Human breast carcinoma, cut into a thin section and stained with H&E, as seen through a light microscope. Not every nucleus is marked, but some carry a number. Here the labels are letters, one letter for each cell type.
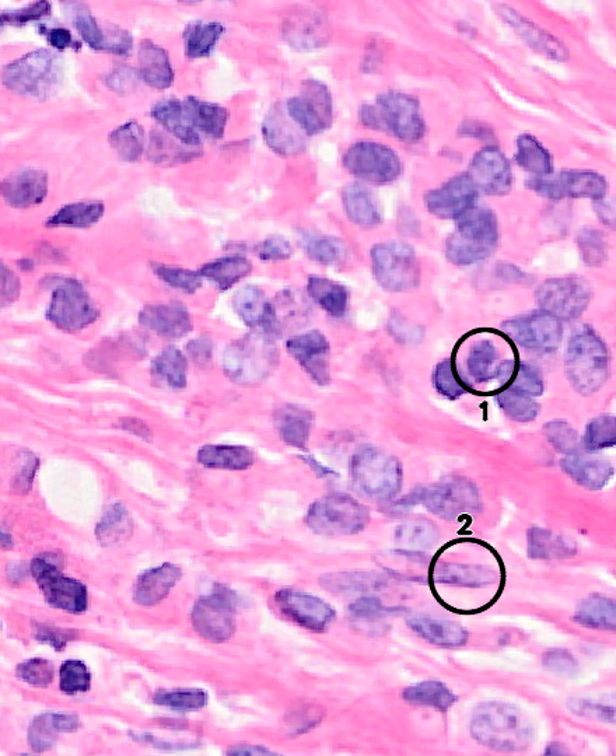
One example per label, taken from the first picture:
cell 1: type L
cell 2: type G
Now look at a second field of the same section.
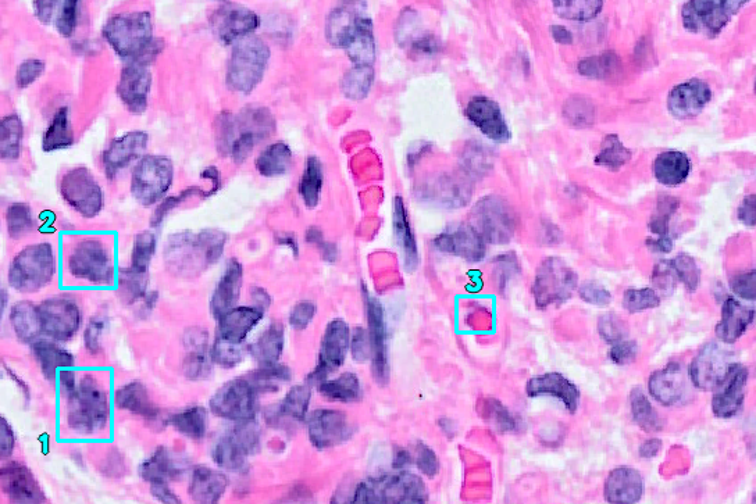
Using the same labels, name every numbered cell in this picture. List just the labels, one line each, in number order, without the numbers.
type L
type L
type G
